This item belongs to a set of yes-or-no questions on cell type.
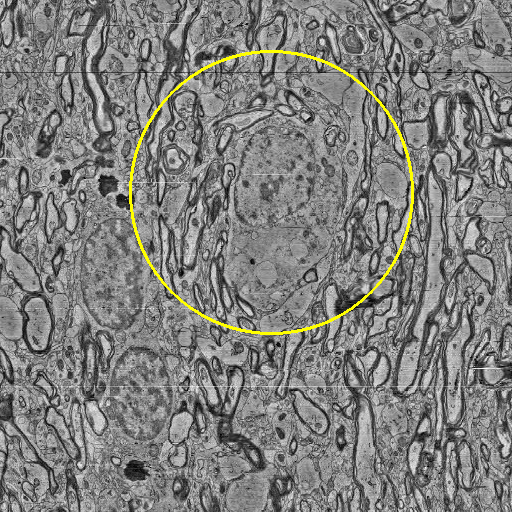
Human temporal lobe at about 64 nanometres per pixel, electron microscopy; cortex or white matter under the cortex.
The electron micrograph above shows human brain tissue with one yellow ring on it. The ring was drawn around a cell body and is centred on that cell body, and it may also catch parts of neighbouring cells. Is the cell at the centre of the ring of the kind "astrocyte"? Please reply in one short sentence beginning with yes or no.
Yes, that cell is of the named kind.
